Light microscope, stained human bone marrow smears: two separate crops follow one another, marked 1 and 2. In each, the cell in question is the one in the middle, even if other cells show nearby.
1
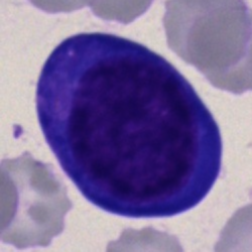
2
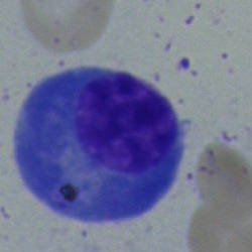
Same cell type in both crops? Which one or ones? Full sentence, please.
No, the cell centred in crop 2 is a plasma cell; crop 1 centres on a proerythroblast.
